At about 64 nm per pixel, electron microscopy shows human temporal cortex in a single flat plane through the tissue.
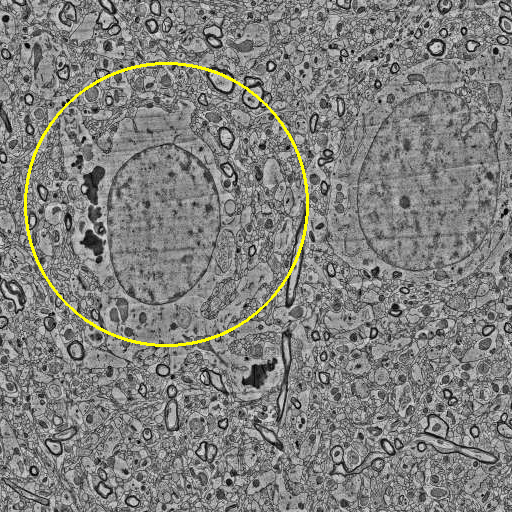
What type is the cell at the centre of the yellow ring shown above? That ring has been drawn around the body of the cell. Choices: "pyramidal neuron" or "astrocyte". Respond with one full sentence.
My answer is that an astrocyte lies at the centre of the yellow ring above.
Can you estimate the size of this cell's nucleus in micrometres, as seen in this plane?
About 10 by 7 micrometres in this plane.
